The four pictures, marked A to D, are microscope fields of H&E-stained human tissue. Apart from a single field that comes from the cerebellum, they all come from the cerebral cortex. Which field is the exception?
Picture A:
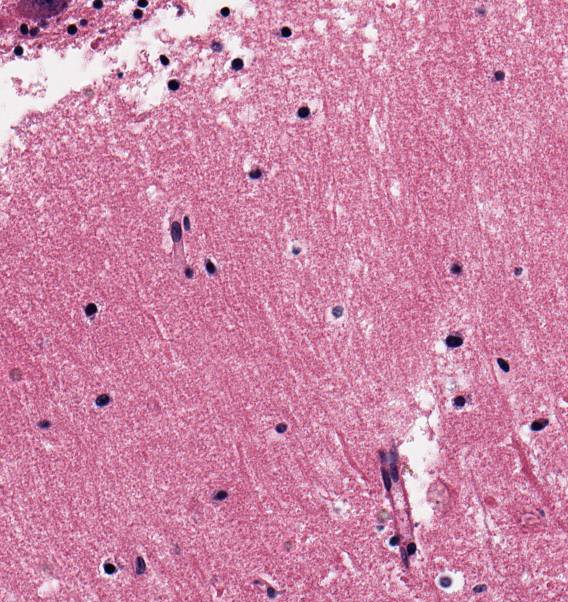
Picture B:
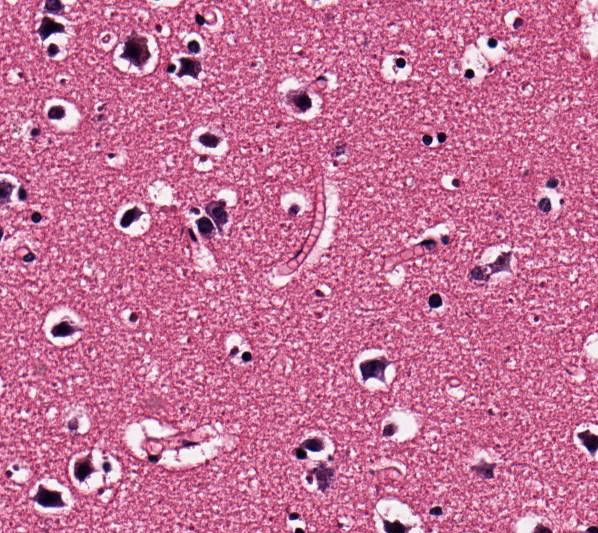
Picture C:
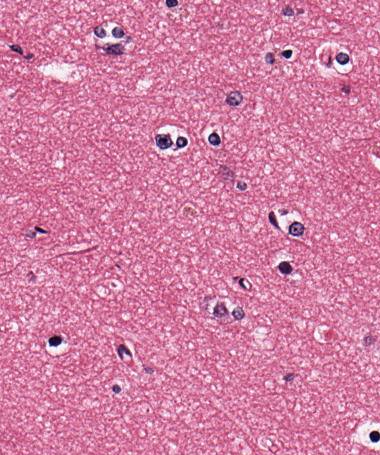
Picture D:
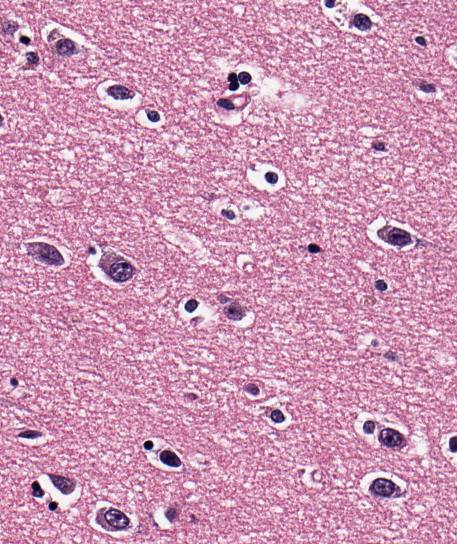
A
